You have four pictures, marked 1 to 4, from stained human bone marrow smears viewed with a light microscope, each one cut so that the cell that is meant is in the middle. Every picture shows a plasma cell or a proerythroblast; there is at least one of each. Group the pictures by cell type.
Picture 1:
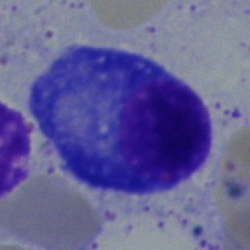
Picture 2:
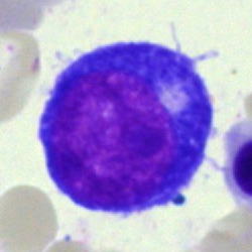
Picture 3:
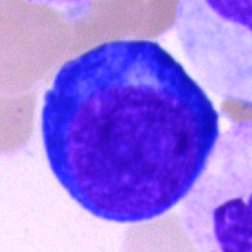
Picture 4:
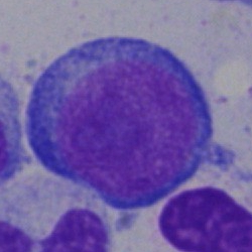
1: plasma cell
2: proerythroblast
3: proerythroblast
4: proerythroblast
